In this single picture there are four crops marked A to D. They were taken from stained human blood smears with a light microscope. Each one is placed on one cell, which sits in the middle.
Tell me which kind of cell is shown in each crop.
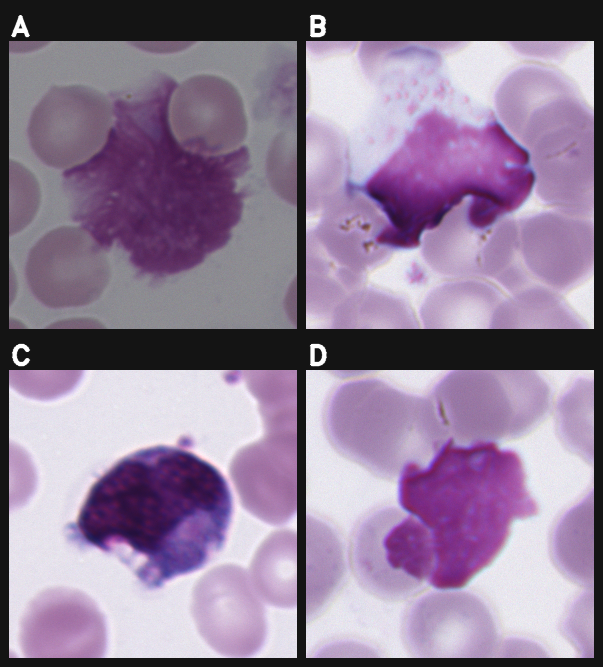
A: smudge cell
B: large granular lymphocyte
C: monocyte
D: smudge cell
